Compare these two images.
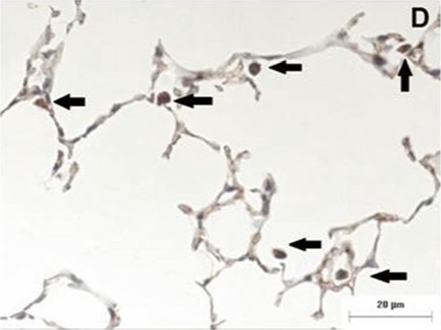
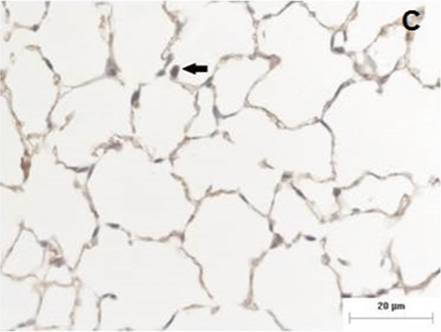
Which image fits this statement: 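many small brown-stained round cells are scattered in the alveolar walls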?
The first image.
